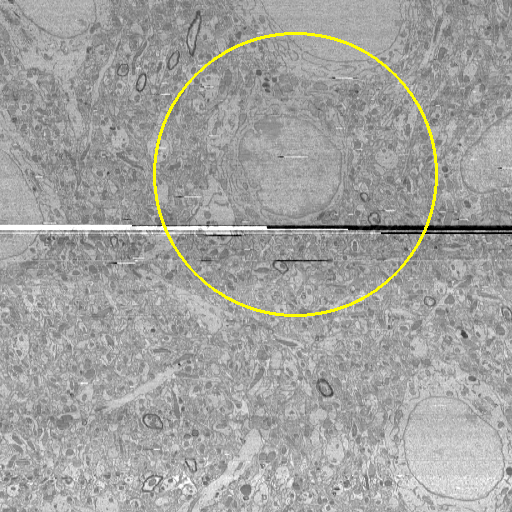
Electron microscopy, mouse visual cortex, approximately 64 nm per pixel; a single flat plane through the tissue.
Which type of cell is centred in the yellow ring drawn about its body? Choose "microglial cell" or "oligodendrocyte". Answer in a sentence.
The yellow ring surrounds the cell body of an oligodendrocyte.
